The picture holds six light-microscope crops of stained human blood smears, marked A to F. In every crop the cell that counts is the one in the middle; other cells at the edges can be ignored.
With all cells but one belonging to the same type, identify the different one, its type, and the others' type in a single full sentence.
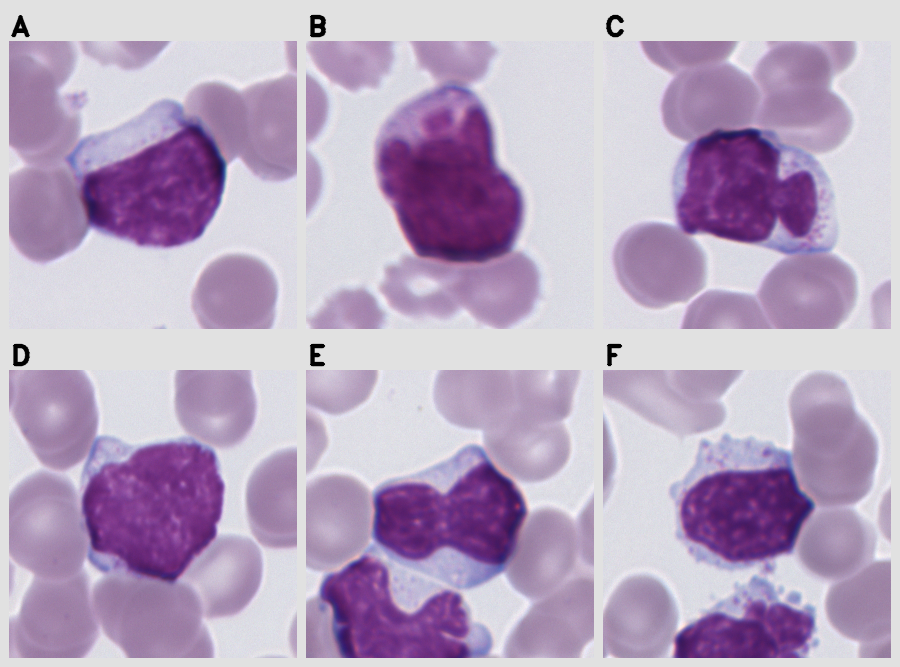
The crops all show large granular lymphocytes, with the exception of crop B, which shows a myeloblast.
